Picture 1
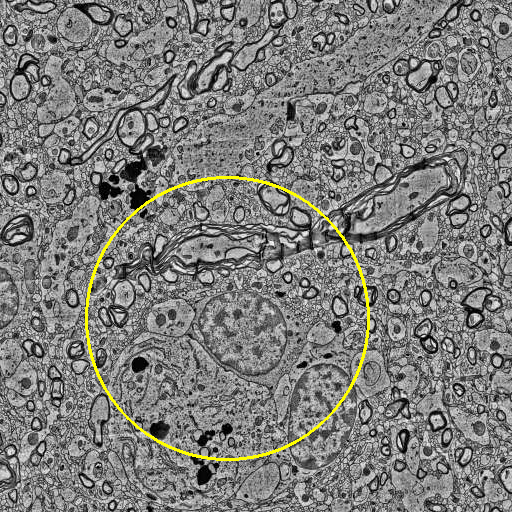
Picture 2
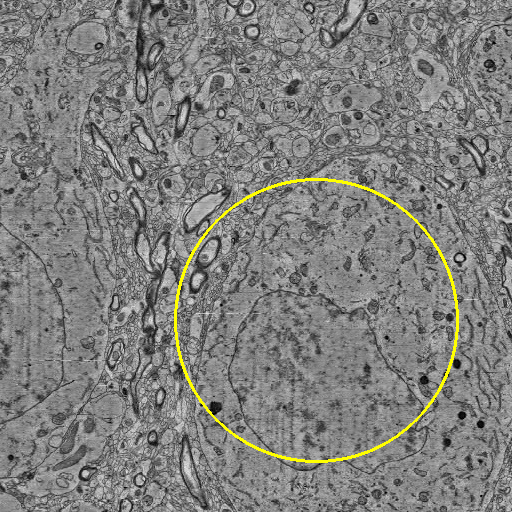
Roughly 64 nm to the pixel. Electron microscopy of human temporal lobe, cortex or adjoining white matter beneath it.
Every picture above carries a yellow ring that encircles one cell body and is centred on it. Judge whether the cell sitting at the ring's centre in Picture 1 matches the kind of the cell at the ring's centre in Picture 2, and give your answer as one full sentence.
No, the cells centred in the rings of Pictures 1 and 2 belong to two kinds.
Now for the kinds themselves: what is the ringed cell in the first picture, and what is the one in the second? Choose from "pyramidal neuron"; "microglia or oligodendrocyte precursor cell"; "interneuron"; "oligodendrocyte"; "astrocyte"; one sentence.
Here the first cell is an oligodendrocyte and the second cell is a pyramidal neuron.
